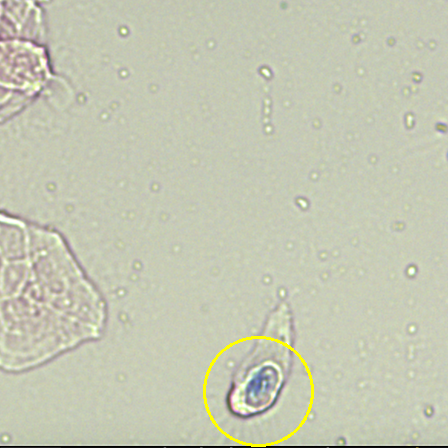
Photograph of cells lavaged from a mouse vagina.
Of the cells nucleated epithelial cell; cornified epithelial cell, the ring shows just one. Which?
The ring shows a nucleated epithelial cell.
